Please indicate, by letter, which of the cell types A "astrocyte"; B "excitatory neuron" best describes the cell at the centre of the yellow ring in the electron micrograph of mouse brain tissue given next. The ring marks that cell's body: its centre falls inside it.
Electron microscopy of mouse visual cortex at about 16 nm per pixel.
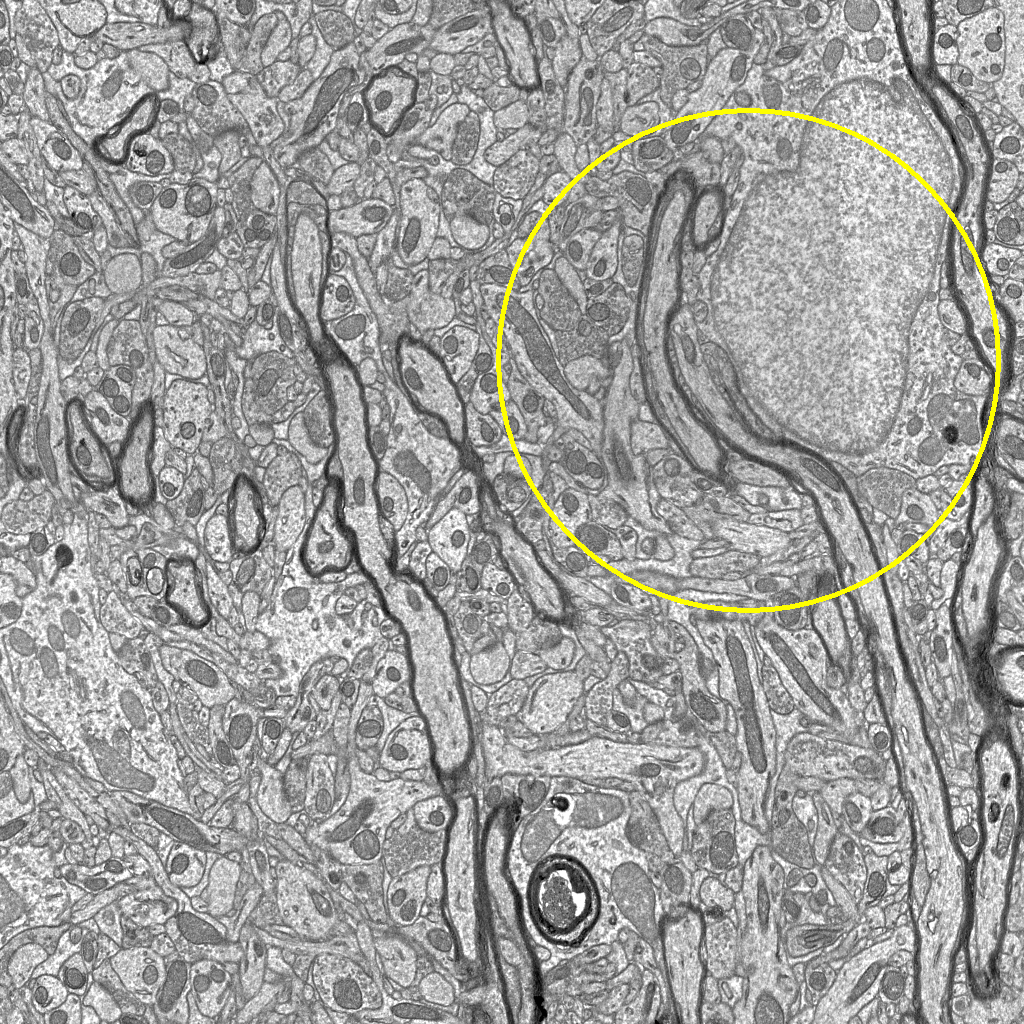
A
